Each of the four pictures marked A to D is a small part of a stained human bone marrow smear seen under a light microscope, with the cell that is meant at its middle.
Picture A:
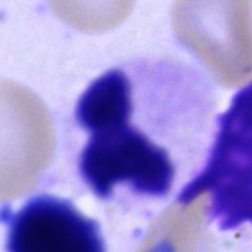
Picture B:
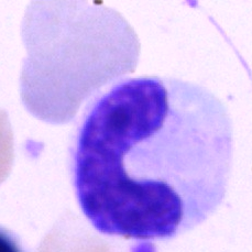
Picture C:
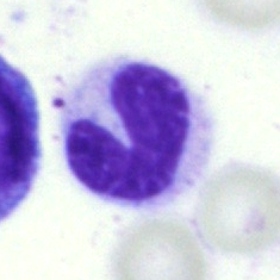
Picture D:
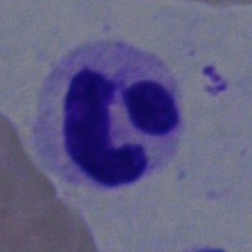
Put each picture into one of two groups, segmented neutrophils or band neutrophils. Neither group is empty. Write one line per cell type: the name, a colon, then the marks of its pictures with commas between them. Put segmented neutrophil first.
segmented neutrophil: A, D
band neutrophil: B, C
